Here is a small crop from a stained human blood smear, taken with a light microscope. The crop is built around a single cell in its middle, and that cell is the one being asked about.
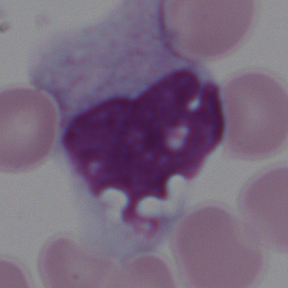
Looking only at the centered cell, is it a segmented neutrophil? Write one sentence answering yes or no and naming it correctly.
No, the cell in the centre is to be called a monocyte instead of a segmented neutrophil.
